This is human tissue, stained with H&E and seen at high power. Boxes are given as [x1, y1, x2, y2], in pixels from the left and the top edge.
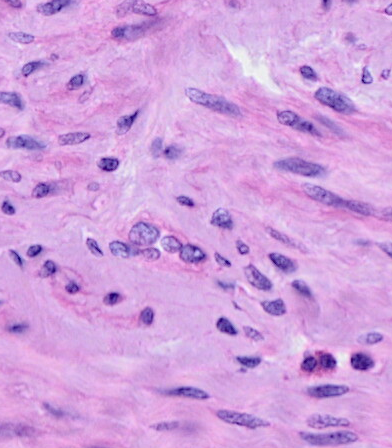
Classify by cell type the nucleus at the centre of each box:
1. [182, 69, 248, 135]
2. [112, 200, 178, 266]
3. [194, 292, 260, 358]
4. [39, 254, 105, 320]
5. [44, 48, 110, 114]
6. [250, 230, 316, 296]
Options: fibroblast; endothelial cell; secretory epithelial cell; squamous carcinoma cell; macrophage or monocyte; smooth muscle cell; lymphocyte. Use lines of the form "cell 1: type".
cell 1: smooth muscle cell
cell 2: endothelial cell
cell 3: fibroblast
cell 4: smooth muscle cell
cell 5: smooth muscle cell
cell 6: fibroblast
